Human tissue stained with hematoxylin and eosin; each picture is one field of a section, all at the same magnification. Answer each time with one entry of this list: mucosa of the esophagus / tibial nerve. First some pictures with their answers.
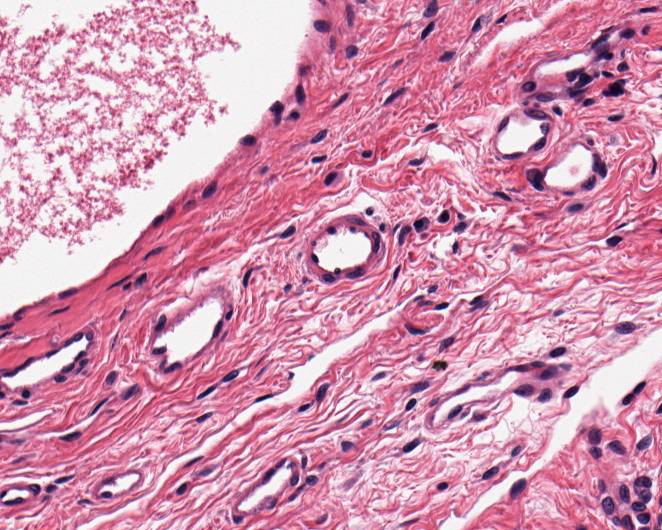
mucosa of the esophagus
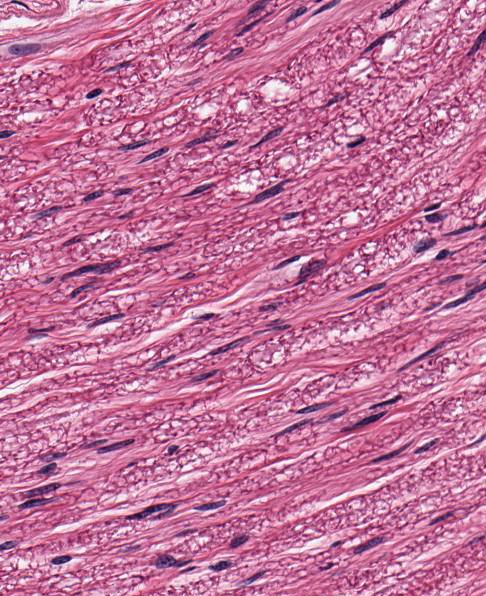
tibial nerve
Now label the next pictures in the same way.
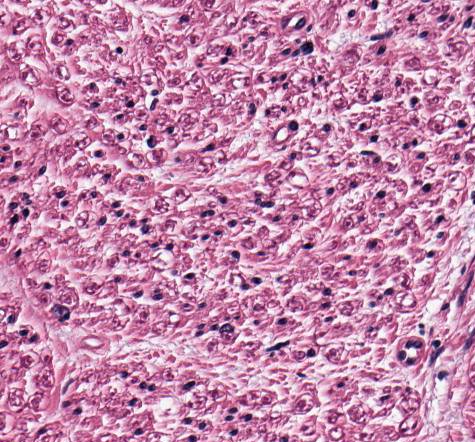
tibial nerve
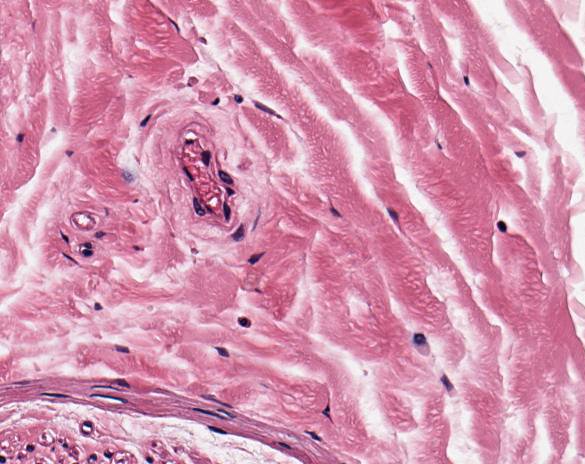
tibial nerve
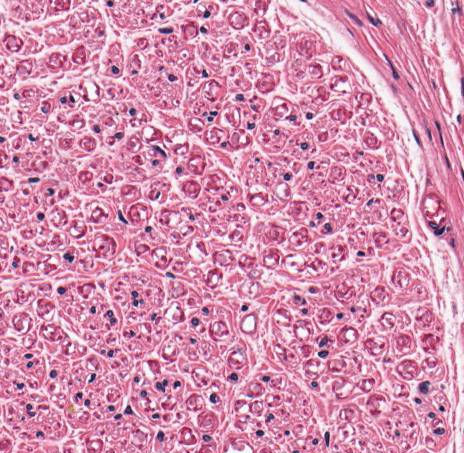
tibial nerve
